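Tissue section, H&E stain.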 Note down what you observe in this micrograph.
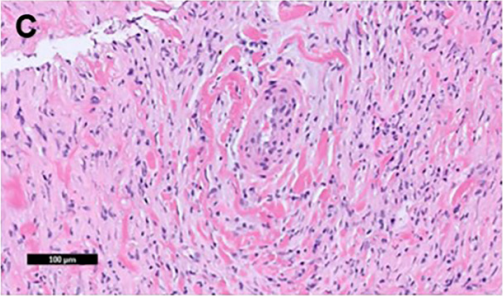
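This is fibrotic tissue in which a small blood vessel is encircled by thick, glassy, keloid-type collagen. In the centre a vessel with a narrow lumen and a few plump nuclei in its wall is wrapped by concentric, curving bright pink collagen bands, giving a whorled, onion-skin appearance. Around it the stroma is made of streaming spindle cells with elongated dark nuclei set among wavy pink fibres, and scattered small inflammatory nuclei. The coarse, hyalinised bundles are broader and more refractile than ordinary collagen, which marks the fibrosis as keloid-like.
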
